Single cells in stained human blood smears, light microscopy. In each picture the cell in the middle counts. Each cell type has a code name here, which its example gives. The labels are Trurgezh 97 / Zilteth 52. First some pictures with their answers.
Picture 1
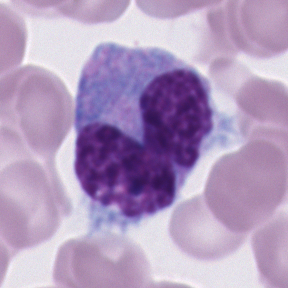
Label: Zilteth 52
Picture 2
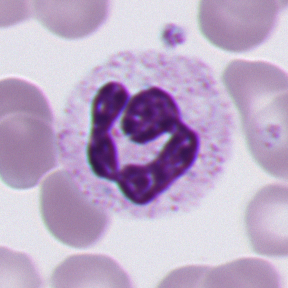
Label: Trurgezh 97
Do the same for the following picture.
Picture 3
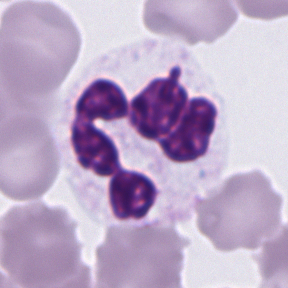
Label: Trurgezh 97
